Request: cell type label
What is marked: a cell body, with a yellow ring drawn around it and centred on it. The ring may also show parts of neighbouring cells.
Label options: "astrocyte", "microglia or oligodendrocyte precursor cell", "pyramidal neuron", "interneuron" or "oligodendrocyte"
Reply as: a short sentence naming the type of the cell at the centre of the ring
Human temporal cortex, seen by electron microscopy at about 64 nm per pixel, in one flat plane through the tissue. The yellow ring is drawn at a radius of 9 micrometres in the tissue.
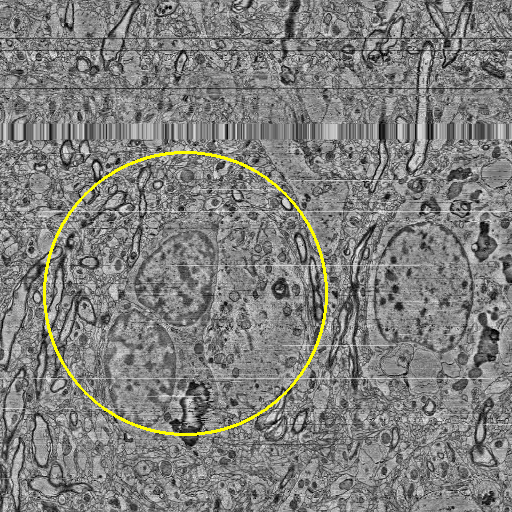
The marked cell body is that of an oligodendrocyte.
